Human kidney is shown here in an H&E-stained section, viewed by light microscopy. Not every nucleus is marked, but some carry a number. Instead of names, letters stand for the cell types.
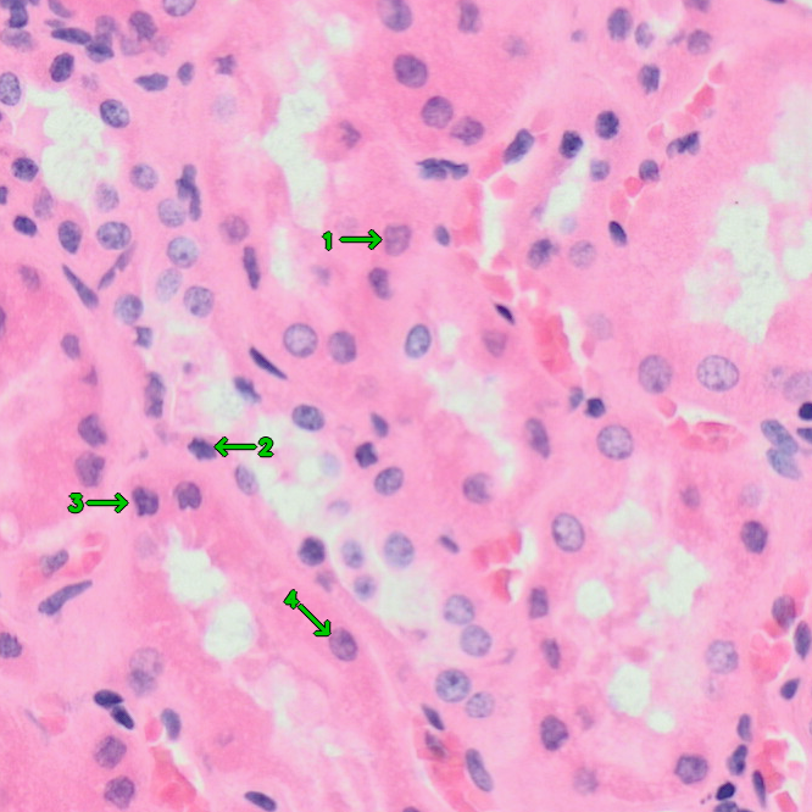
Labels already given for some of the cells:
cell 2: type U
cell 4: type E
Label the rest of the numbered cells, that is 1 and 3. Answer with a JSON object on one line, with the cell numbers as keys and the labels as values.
{"1": "type E", "3": "type E"}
